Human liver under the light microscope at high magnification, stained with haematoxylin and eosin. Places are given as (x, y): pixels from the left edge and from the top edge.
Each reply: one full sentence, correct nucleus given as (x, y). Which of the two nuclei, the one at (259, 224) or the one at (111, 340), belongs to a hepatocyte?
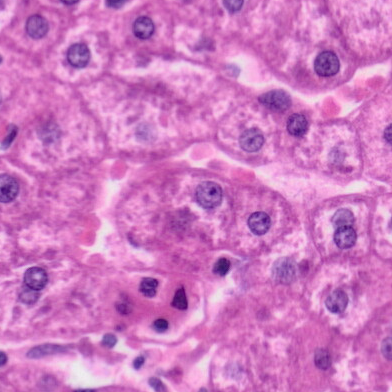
It is the nucleus at (259, 224), not the other one, that belongs to a hepatocyte.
